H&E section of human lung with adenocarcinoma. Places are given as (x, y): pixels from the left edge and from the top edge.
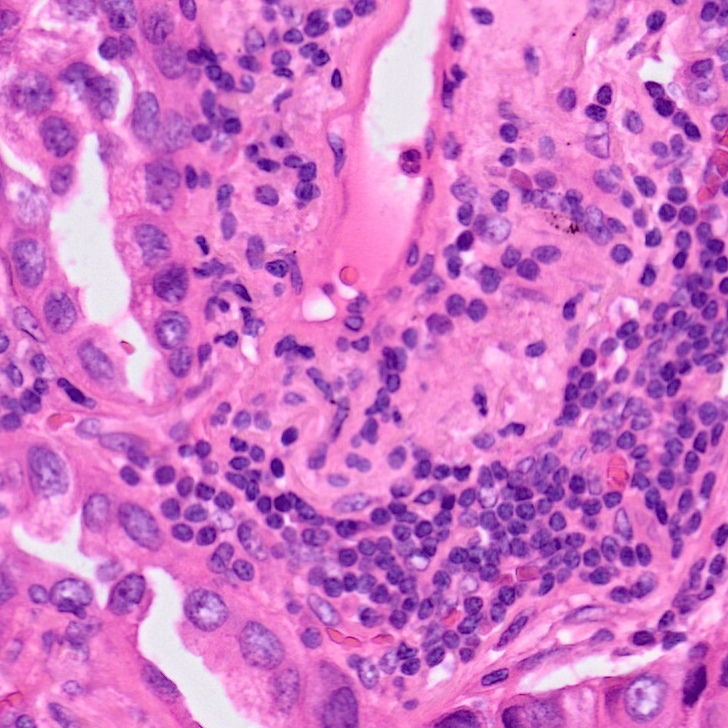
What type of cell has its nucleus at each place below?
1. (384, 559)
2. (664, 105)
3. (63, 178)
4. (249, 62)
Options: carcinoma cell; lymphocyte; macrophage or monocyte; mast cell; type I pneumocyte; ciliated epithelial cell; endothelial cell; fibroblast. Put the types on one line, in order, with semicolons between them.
lymphocyte; lymphocyte; carcinoma cell; lymphocyte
